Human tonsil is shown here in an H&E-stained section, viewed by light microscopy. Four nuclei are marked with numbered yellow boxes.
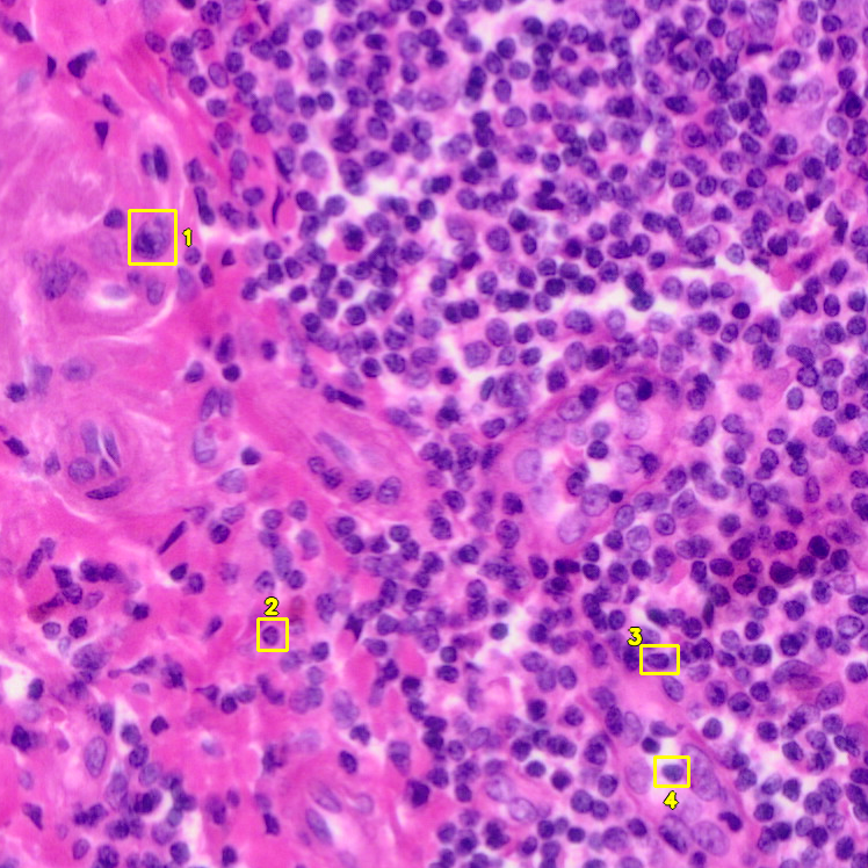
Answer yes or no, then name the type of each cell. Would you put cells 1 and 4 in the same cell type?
Yes, both cell 1 and cell 4 are endothelial cells.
